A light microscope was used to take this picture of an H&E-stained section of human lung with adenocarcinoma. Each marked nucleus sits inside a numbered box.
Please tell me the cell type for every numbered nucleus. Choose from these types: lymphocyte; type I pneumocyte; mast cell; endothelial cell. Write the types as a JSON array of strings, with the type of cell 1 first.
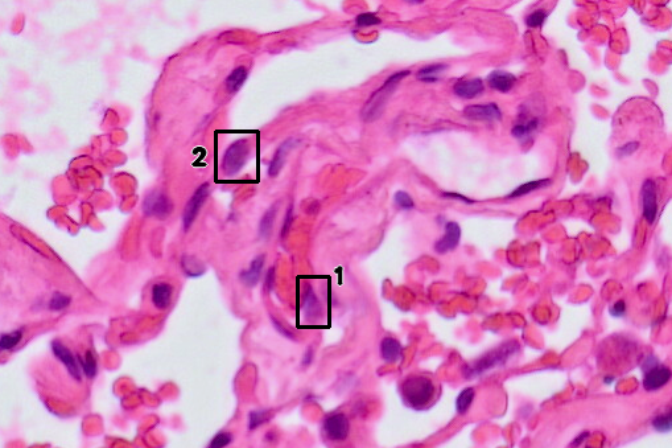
["endothelial cell", "type I pneumocyte"]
